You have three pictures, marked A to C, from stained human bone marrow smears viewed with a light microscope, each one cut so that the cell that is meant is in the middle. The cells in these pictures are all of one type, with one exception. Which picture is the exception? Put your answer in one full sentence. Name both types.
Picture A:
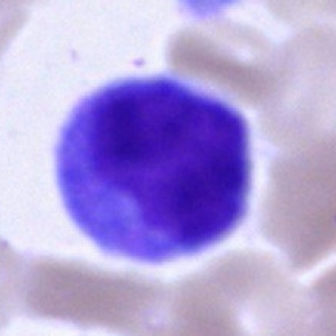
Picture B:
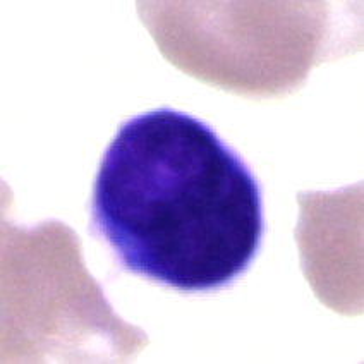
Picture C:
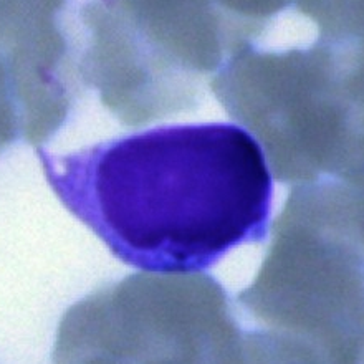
The different one is picture A; it shows a monocyte, whereas all the others show lymphocytes.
